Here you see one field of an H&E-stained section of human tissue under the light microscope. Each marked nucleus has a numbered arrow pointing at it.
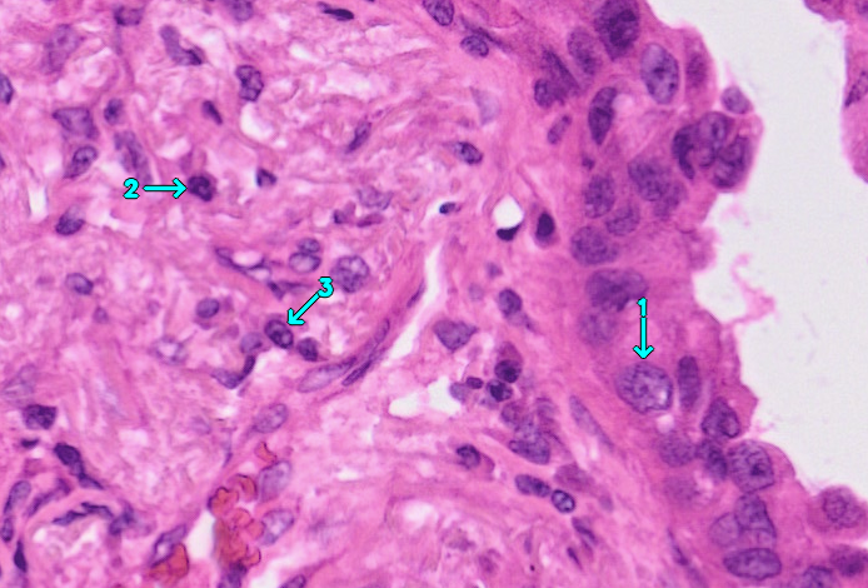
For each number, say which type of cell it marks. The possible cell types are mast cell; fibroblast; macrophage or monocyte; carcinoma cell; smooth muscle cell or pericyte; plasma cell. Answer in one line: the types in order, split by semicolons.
carcinoma cell; plasma cell; plasma cell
